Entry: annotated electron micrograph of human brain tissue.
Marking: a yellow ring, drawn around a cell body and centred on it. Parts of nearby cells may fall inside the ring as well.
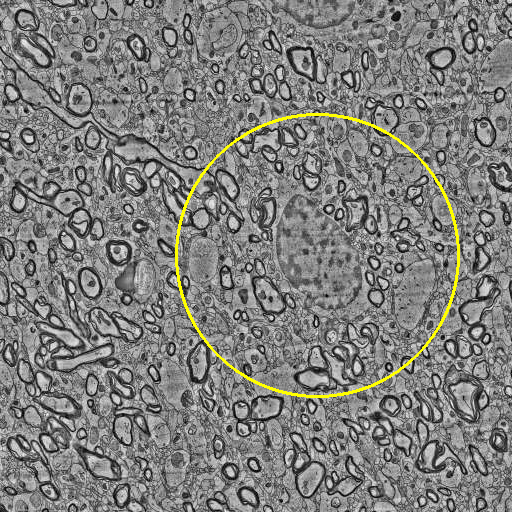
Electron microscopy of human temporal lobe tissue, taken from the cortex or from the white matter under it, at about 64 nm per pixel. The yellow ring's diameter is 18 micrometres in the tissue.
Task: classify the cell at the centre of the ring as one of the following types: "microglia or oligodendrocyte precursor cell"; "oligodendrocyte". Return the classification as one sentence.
The marked cell is classified as an oligodendrocyte.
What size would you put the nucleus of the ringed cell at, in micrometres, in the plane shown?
The ringed cell's nucleus measures approximately 8 by 5 micrometres in this plane.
